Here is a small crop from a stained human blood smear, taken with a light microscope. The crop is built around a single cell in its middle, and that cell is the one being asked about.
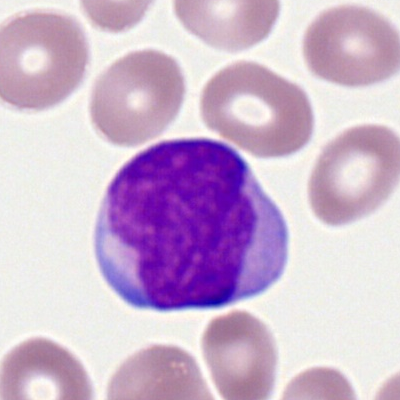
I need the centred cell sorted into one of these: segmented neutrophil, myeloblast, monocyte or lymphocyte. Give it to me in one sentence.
The crop centres on a single cell, and that cell is a myeloblast.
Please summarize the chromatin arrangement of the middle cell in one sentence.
The chromatin of this one is coarsely clumped.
